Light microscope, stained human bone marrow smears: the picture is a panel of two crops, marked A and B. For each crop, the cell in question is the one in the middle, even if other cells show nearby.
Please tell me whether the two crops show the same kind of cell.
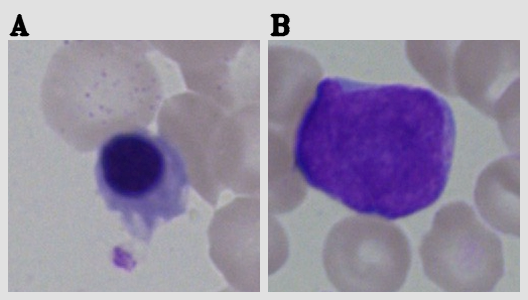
no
